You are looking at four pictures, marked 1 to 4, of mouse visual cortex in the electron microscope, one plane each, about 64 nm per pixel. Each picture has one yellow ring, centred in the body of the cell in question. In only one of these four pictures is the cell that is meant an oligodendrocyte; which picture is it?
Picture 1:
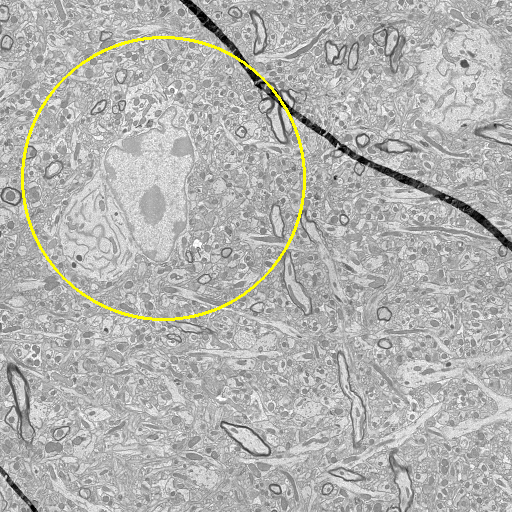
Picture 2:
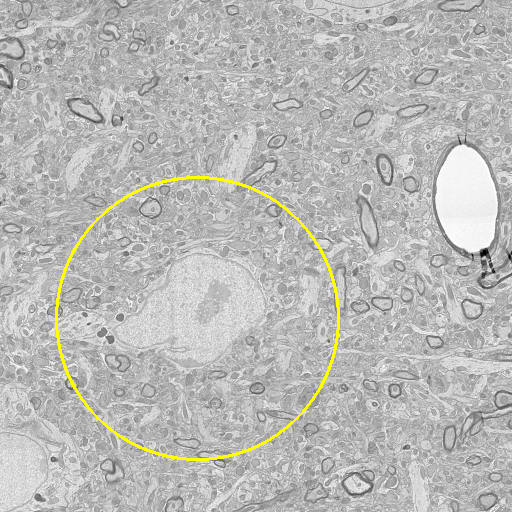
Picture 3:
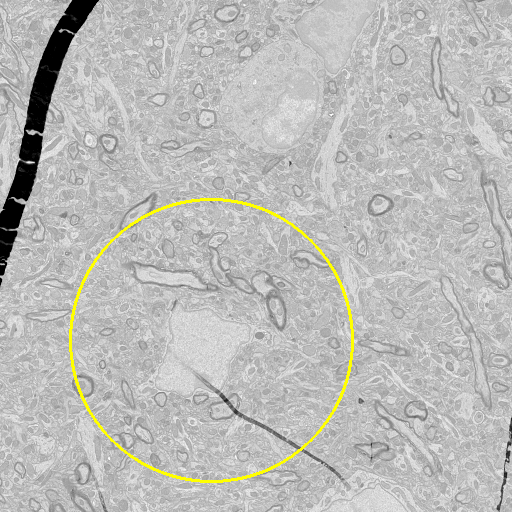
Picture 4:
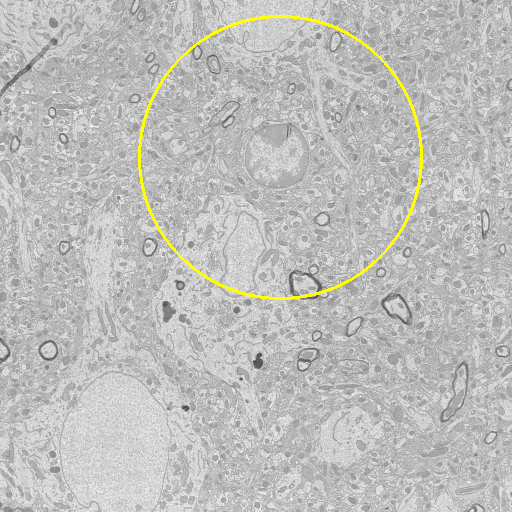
Picture 4 shows the oligodendrocyte.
